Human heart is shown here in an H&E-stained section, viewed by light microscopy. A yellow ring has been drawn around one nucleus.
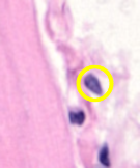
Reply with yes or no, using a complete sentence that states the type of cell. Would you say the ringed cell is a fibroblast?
Yes, calling the ringed cell a fibroblast is correct.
